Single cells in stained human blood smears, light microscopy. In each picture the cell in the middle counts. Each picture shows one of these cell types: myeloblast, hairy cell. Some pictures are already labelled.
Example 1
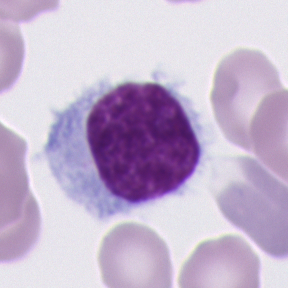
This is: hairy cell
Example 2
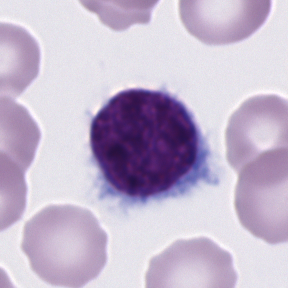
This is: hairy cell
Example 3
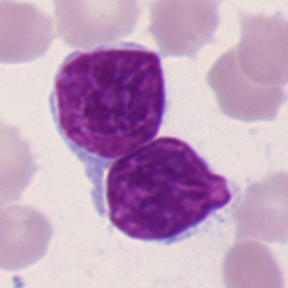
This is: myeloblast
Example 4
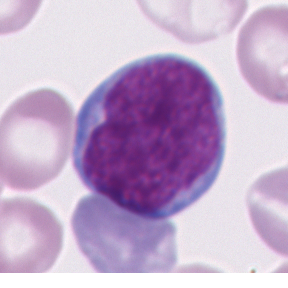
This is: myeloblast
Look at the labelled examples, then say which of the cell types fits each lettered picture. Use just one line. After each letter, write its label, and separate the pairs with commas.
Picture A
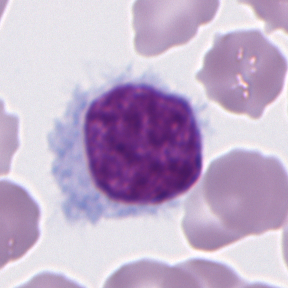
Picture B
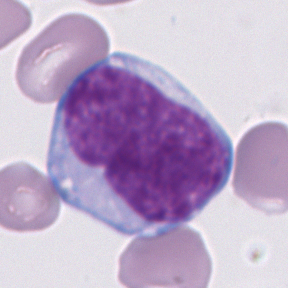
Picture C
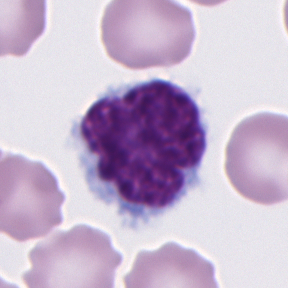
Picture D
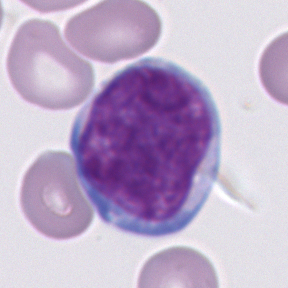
A hairy cell, B myeloblast, C hairy cell, D myeloblast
